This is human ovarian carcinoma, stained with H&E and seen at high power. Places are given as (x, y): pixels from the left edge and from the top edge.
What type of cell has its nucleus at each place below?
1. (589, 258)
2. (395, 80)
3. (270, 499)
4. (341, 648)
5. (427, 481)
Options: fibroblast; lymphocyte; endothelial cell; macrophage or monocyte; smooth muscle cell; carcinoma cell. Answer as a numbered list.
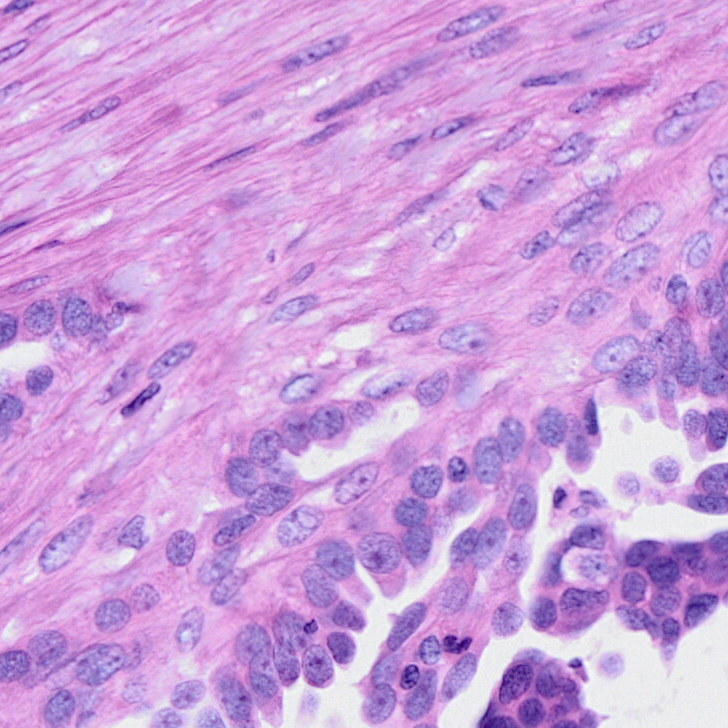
1. fibroblast
2. fibroblast
3. carcinoma cell
4. carcinoma cell
5. carcinoma cell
